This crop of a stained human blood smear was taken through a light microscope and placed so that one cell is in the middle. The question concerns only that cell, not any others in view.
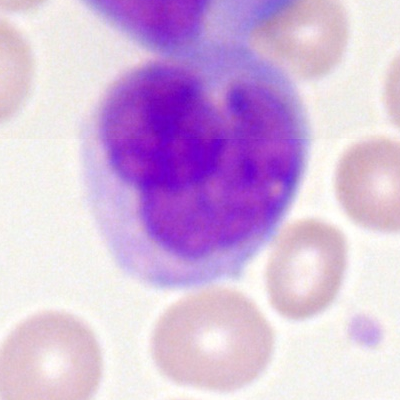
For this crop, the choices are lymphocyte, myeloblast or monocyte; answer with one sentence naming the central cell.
Here the centrally located cell is a monocyte.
